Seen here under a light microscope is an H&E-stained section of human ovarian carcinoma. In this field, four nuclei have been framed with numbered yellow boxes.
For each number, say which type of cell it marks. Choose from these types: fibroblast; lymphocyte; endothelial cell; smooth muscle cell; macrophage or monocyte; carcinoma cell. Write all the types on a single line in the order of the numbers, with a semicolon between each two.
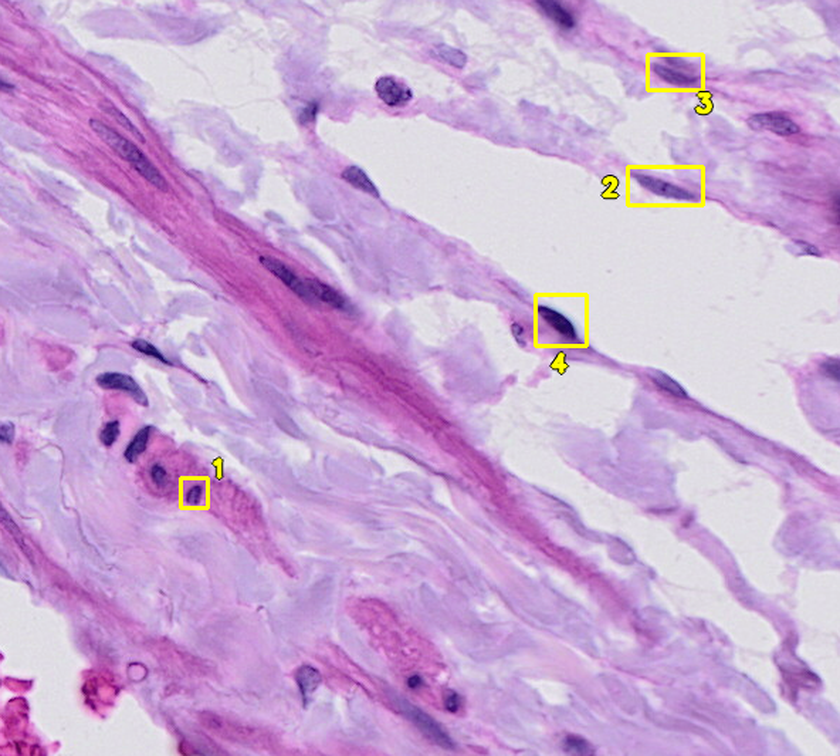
smooth muscle cell; endothelial cell; endothelial cell; endothelial cell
